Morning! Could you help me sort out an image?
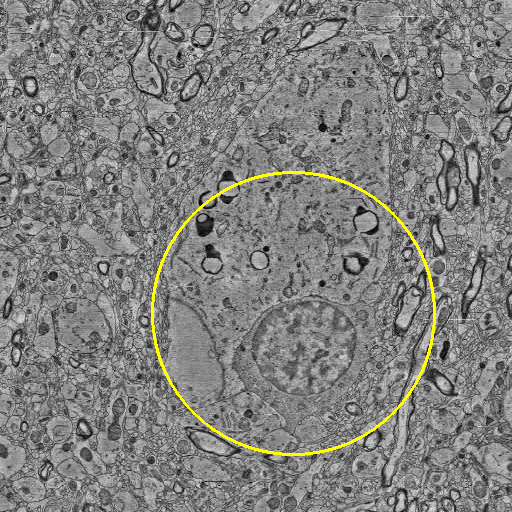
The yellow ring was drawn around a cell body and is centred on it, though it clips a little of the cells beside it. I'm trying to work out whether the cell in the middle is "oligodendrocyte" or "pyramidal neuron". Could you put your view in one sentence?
The ringed cell body is that of an oligodendrocyte.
